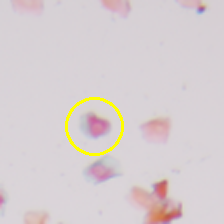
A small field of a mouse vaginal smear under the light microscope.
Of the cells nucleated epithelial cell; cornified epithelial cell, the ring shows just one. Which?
The ring shows a nucleated epithelial cell.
